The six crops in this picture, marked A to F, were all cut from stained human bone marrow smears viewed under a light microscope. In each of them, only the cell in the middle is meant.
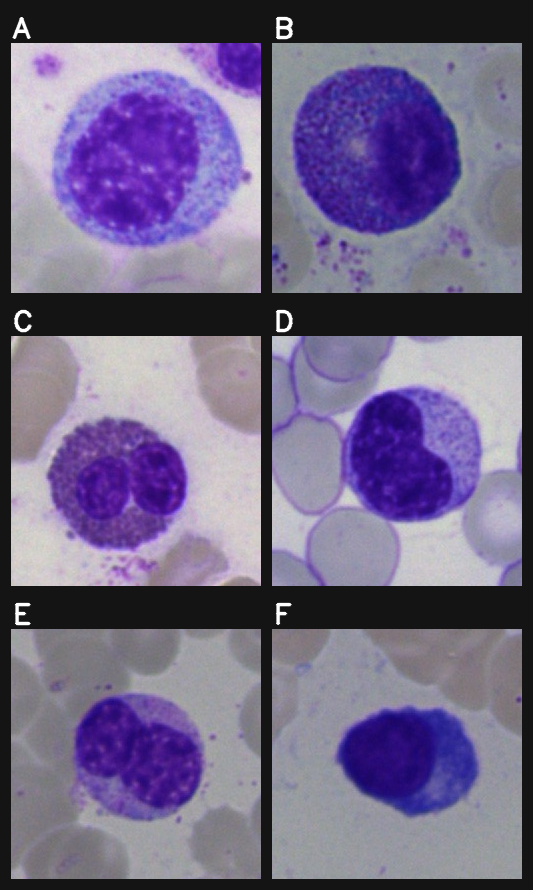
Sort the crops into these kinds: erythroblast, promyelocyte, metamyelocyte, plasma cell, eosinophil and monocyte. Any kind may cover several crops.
A: promyelocyte
B: promyelocyte
C: eosinophil
D: metamyelocyte
E: metamyelocyte
F: plasma cell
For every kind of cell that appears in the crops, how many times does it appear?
promyelocyte: 2
metamyelocyte: 2
eosinophil: 1
plasma cell: 1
